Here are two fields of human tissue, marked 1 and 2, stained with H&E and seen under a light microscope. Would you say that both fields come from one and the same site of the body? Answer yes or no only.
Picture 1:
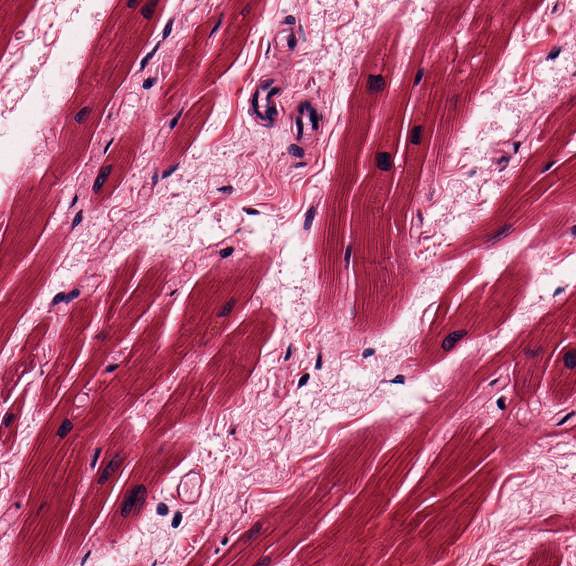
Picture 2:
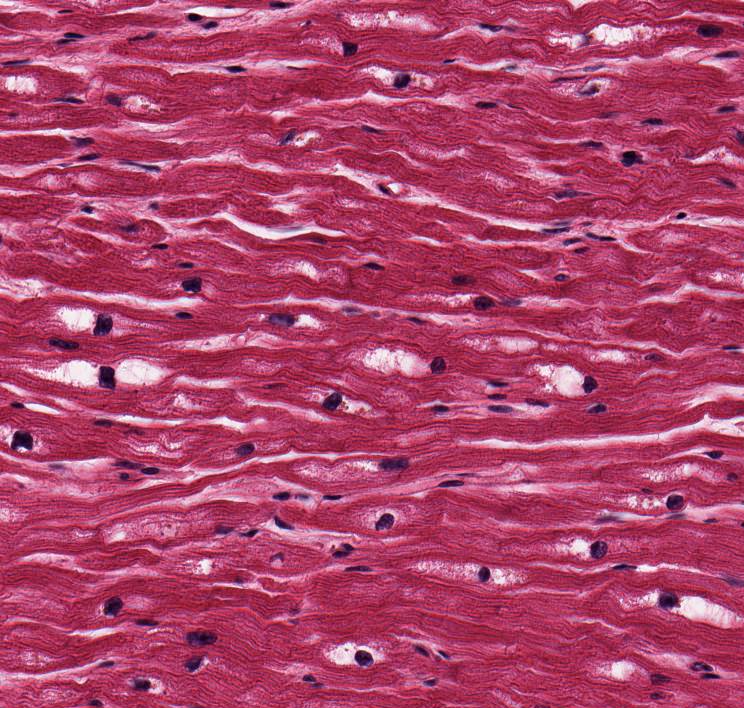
yes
